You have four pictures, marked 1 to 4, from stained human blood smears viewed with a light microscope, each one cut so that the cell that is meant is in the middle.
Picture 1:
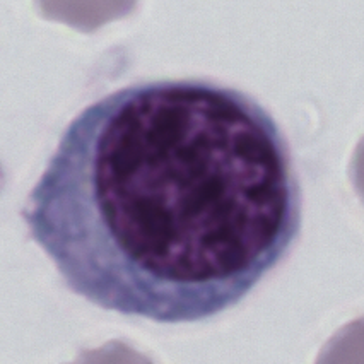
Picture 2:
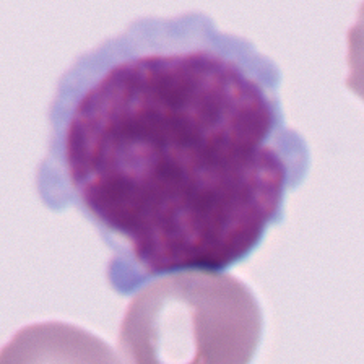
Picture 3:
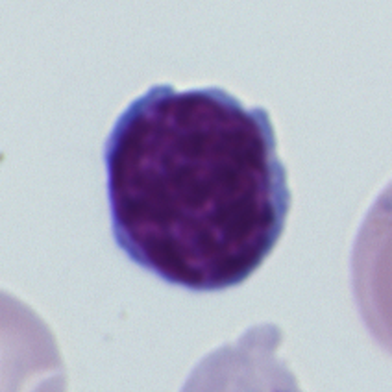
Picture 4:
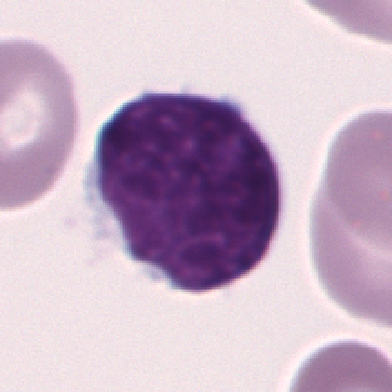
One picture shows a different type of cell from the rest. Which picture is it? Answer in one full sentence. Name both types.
Picture 1 differs, because its cell is a plasma cell and the rest are typical lymphocytes.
